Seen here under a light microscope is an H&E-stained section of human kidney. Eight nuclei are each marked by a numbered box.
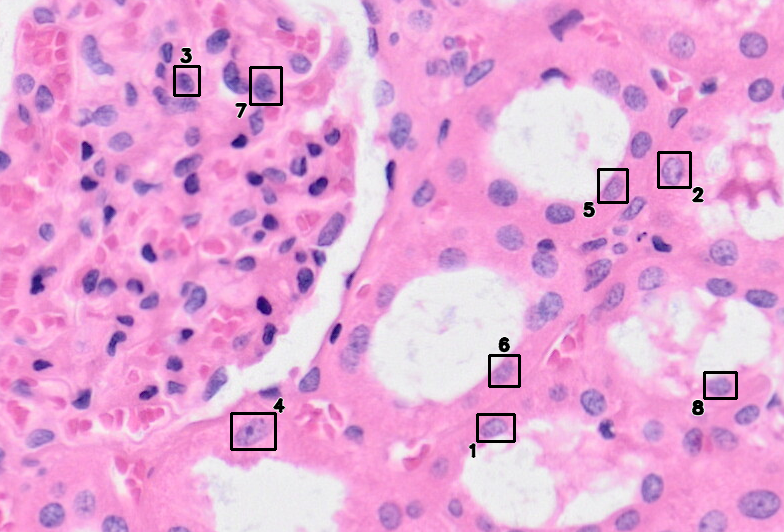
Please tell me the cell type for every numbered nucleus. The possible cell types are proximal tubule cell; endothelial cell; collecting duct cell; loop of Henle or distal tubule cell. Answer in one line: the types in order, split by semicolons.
loop of Henle or distal tubule cell; proximal tubule cell; endothelial cell; proximal tubule cell; loop of Henle or distal tubule cell; loop of Henle or distal tubule cell; endothelial cell; loop of Henle or distal tubule cell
